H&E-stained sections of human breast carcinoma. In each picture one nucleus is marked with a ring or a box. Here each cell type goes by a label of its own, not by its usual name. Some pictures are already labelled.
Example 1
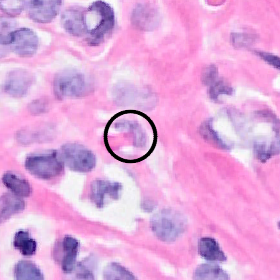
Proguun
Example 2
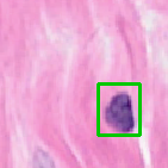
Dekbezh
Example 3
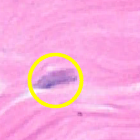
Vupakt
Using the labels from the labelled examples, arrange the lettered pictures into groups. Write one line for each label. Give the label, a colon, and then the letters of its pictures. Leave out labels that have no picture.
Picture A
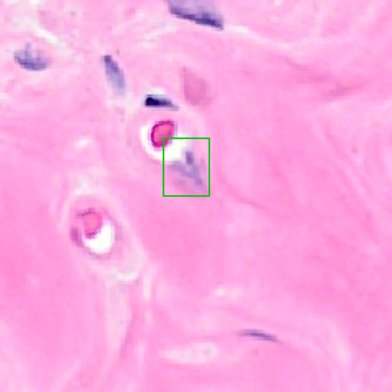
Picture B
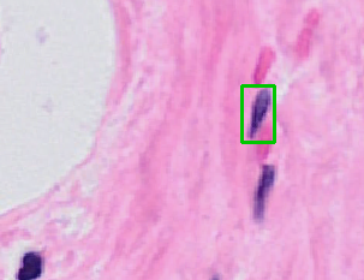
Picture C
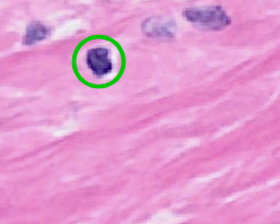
Proguun: A, B
Dekbezh: C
